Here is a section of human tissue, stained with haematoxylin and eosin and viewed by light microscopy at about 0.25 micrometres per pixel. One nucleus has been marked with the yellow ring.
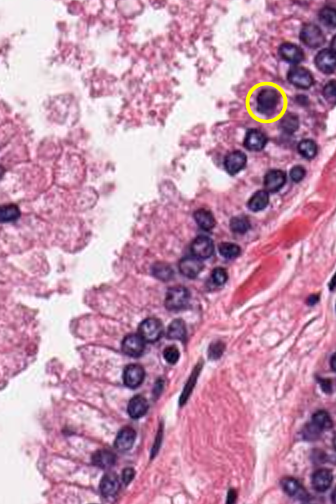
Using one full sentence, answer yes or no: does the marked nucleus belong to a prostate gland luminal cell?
Yes, the marked nucleus is that of a prostate gland luminal cell.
